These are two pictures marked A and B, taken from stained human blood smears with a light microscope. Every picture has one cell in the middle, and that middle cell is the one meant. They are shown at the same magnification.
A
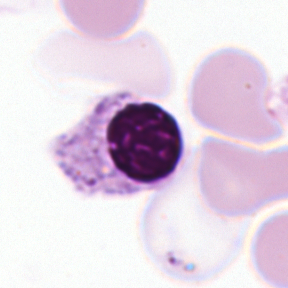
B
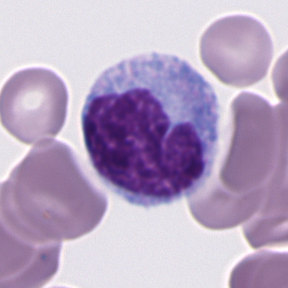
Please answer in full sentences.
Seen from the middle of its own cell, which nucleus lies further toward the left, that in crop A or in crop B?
Seen within its cell, the nucleus in crop B lies further toward the left.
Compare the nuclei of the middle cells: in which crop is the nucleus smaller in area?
Crop A shows the smaller nucleus, since that in crop B covers about 2 times as much area.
